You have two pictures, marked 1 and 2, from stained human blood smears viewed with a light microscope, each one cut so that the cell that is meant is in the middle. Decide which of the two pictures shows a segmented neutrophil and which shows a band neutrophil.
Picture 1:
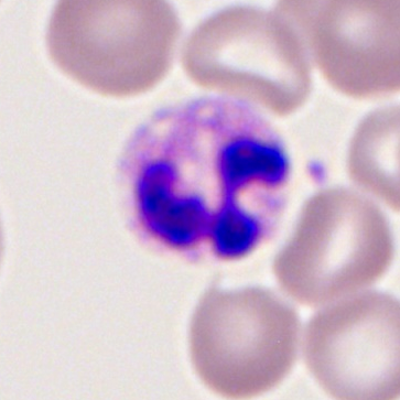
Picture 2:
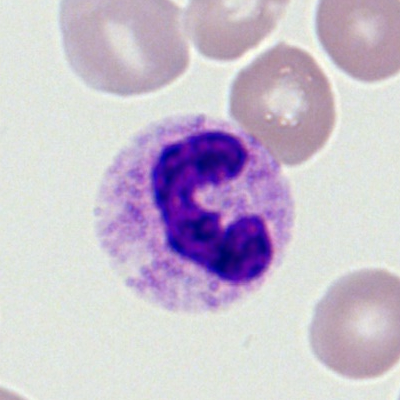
1: segmented neutrophil
2: band neutrophil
